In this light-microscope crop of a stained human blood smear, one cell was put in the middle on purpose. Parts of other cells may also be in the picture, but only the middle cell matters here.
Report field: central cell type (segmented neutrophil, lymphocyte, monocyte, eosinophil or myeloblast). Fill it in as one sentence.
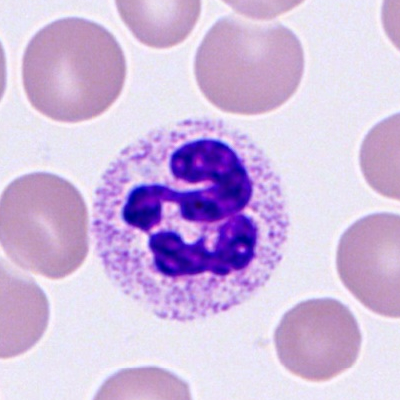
The cell at the middle of the crop is recognized as a segmented neutrophil.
